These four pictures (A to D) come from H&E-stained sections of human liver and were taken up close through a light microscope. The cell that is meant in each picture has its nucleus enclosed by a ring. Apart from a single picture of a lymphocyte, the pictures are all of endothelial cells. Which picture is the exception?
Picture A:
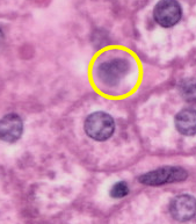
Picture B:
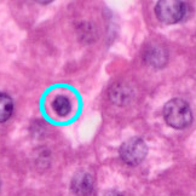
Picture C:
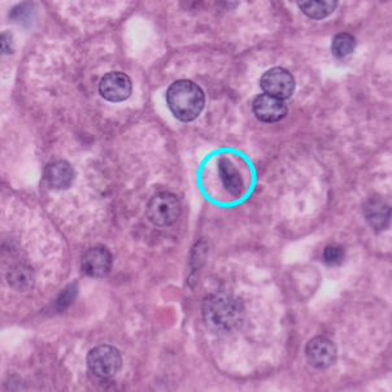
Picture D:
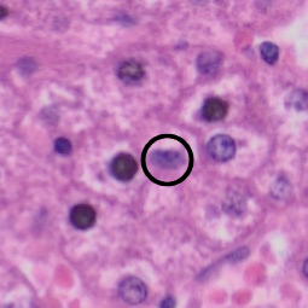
B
